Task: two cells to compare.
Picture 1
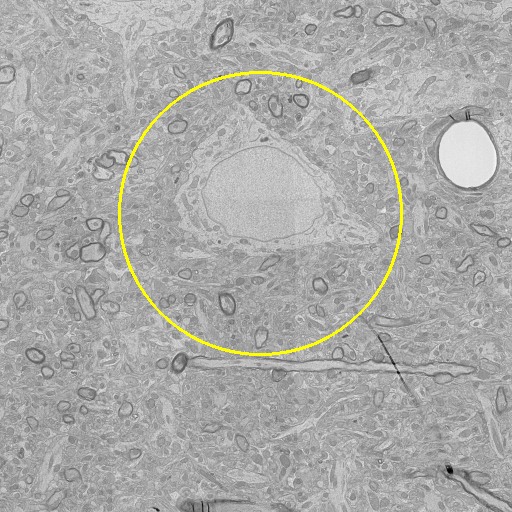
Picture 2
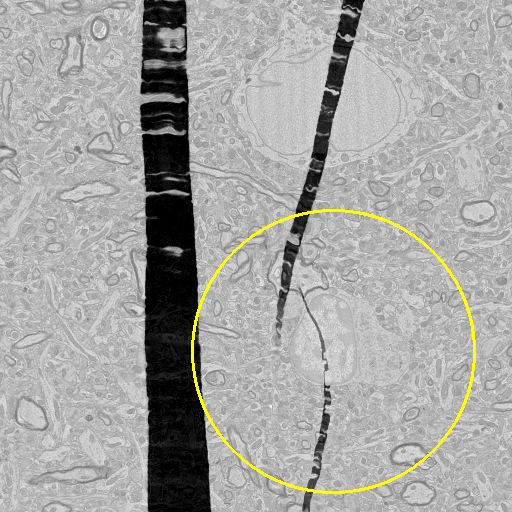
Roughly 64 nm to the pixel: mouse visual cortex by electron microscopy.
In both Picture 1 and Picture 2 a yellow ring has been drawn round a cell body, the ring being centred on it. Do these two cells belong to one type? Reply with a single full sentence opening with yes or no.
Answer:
No, the two cells at the ring centres in Picture 1 and Picture 2 are of two types.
